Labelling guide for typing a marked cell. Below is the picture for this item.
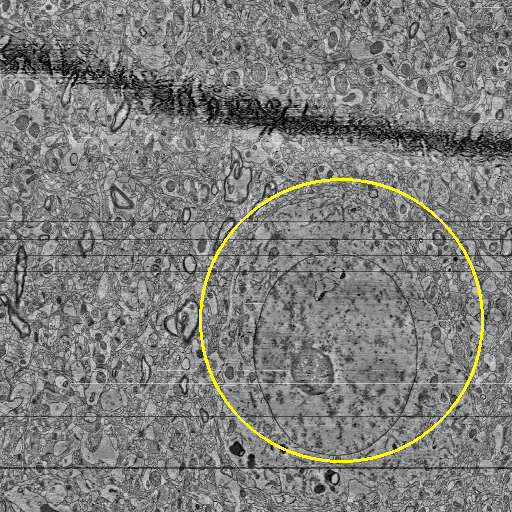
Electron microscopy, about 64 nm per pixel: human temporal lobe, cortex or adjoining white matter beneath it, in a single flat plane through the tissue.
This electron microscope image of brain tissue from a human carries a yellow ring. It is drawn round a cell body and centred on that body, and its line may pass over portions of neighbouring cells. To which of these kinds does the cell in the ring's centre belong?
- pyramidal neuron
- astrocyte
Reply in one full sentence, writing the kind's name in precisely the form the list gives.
Here we have a pyramidal neuron at the centre of the yellow ring in the picture.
